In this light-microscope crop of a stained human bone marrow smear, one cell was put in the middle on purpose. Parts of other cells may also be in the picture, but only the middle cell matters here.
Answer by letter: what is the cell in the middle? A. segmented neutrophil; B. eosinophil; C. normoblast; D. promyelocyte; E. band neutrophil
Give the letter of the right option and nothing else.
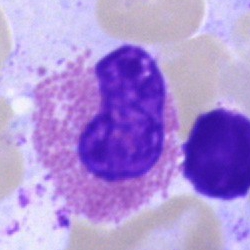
B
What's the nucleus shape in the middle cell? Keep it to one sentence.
Key feature: a single compact nucleus, round, oval or kidney-shaped.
